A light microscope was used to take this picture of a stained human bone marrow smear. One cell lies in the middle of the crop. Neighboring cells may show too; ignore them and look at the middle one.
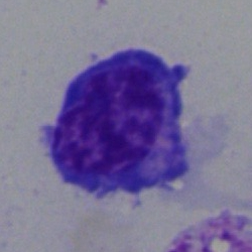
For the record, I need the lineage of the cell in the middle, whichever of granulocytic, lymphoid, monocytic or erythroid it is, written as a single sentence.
The central cell in this crop should be counted within the erythroid lineage.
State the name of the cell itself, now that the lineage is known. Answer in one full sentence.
This particular crop is centered on an erythroblast.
